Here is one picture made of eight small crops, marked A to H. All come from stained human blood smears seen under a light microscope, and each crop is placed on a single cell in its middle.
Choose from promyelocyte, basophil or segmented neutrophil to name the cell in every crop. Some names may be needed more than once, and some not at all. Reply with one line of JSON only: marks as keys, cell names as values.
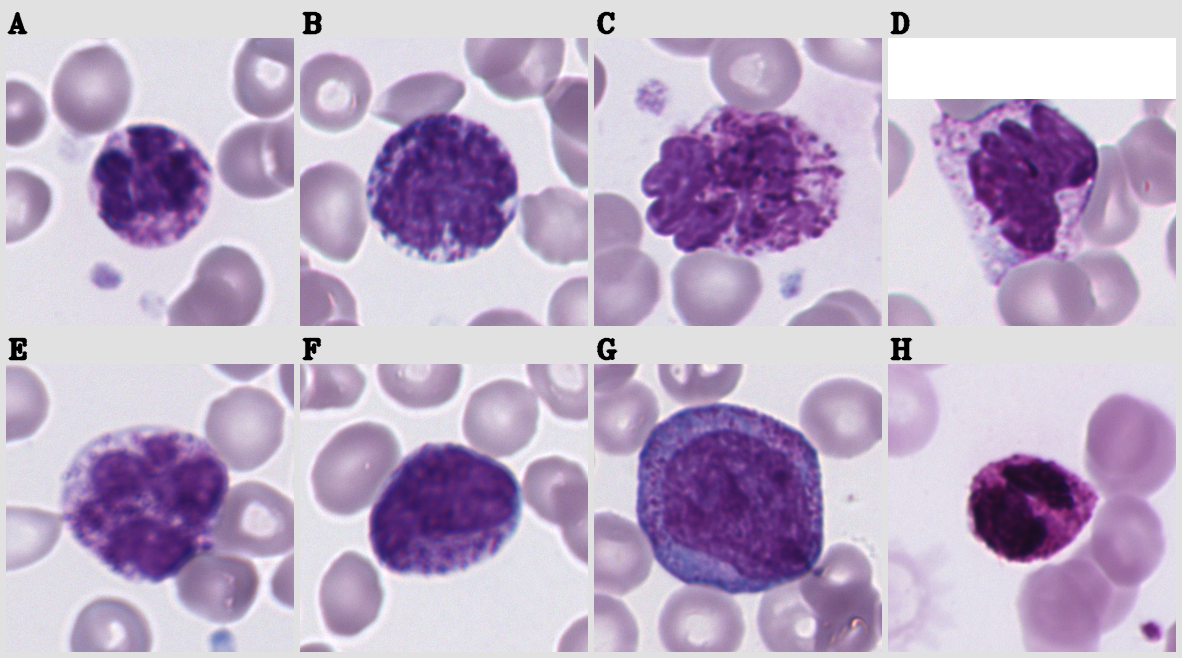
{"A": "basophil", "B": "basophil", "C": "basophil", "D": "segmented neutrophil", "E": "basophil", "F": "basophil", "G": "promyelocyte", "H": "basophil"}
